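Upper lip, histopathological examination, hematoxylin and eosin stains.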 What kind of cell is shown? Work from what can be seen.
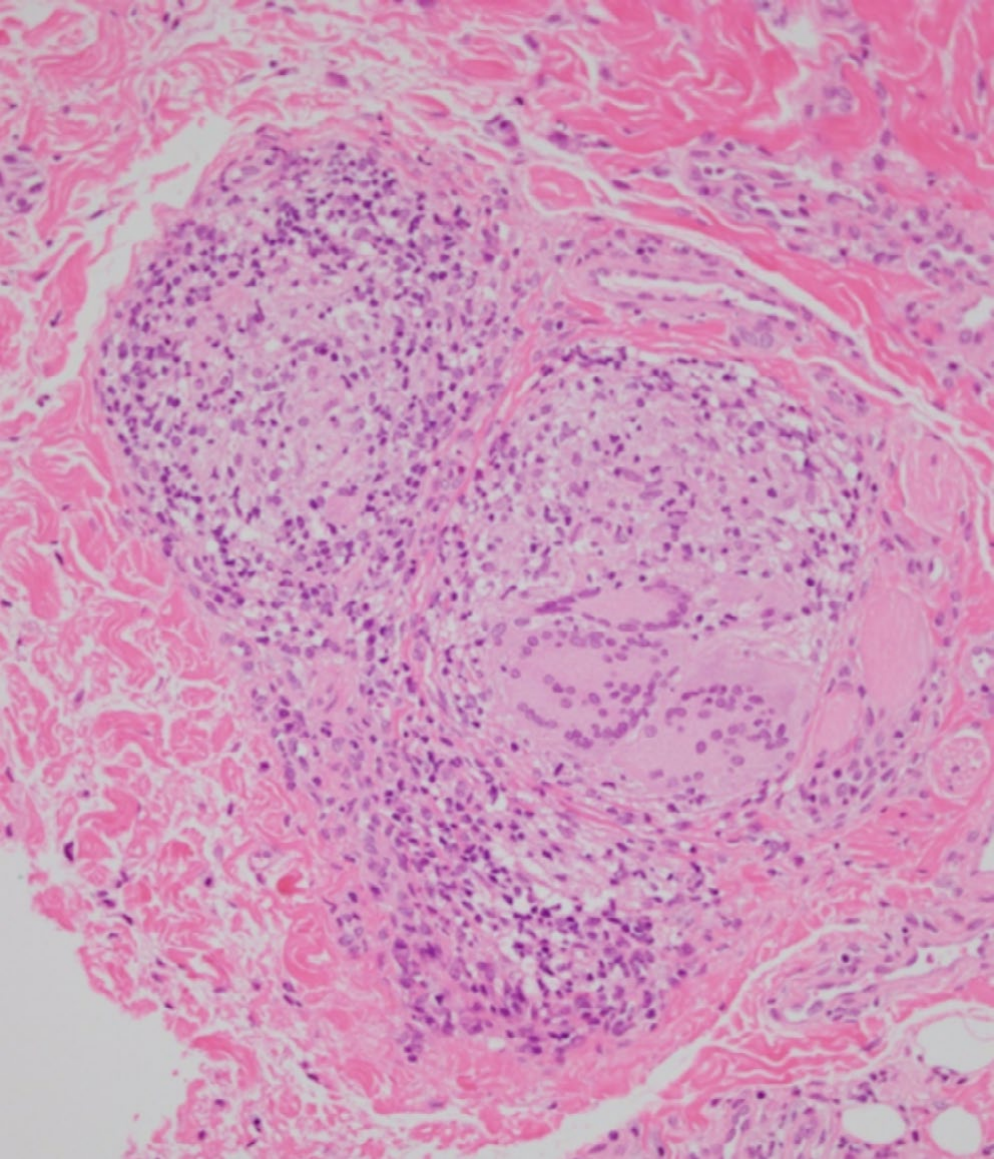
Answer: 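Well-circumscribed rounded nodules of cells lie within pink collagenous dermis. The cells in the nodule centres have pale pink cytoplasm and oval, pale nuclei. A multinucleated cell with many nuclei lies in the right nodule. So: granulomatous epithelioid cells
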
